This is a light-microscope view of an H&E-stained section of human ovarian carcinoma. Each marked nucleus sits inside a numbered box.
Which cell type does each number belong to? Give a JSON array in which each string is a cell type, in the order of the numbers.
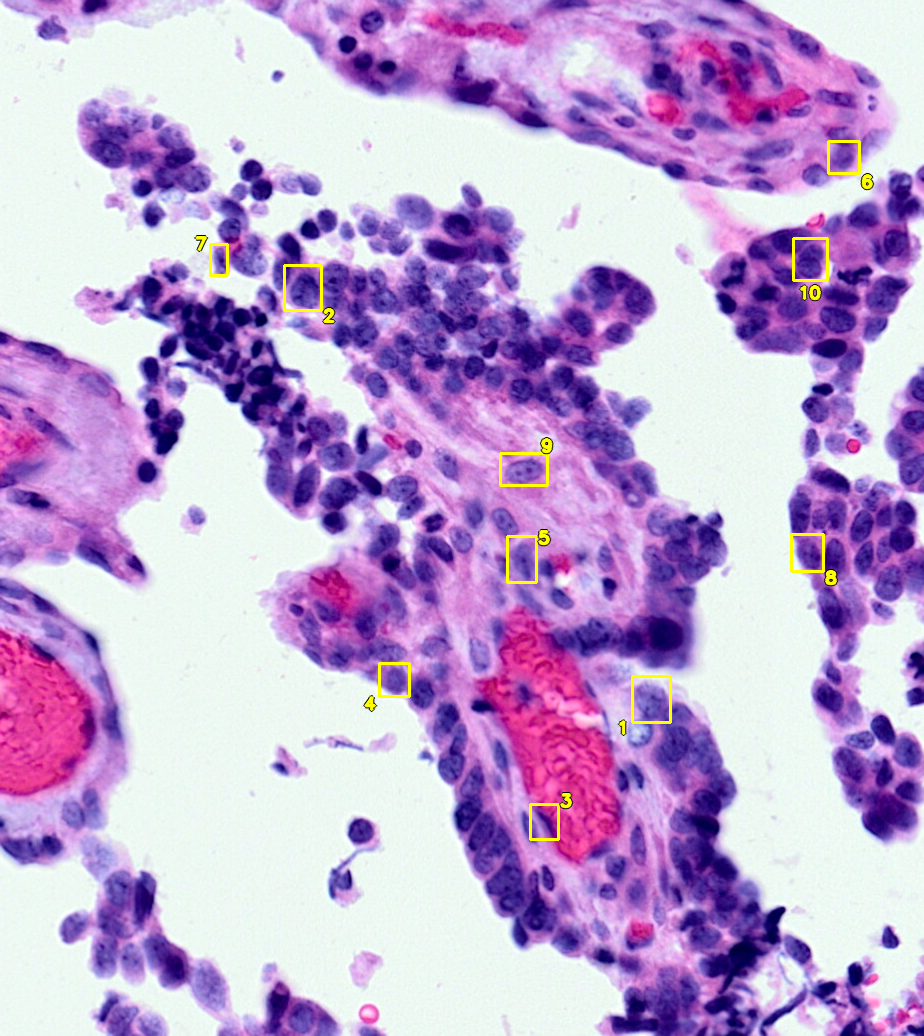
["carcinoma cell", "carcinoma cell", "endothelial cell", "carcinoma cell", "fibroblast", "carcinoma cell", "macrophage or monocyte", "carcinoma cell", "fibroblast", "carcinoma cell"]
